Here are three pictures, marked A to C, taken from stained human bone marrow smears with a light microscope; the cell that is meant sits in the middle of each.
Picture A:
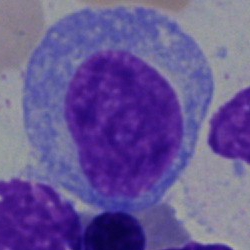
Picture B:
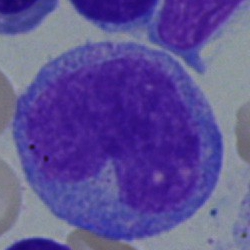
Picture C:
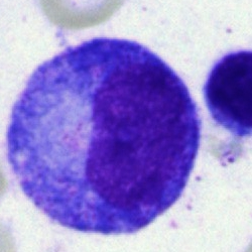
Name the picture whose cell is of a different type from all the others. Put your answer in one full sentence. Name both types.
All pictures except A show promyelocytes; picture A shows a blast.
